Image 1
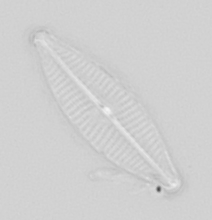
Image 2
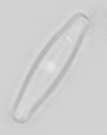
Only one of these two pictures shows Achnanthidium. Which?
Picture 2.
